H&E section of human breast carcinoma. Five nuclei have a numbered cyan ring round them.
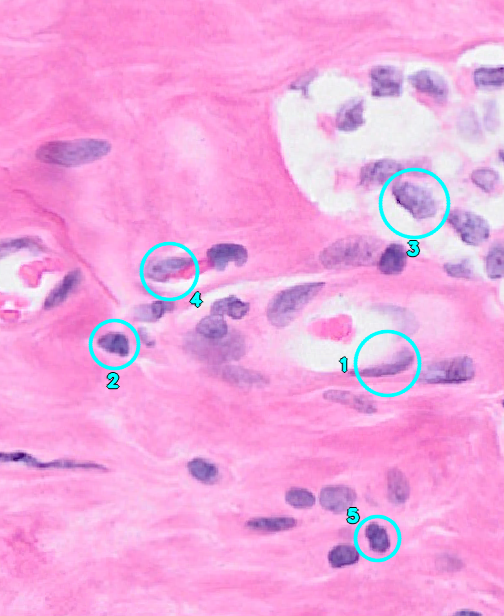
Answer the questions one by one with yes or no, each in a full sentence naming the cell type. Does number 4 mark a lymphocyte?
No, instead of a lymphocyte, the cell with number 4 is an endothelial cell.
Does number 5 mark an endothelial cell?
No, the cell with number 5 is not an endothelial cell but a lymphocyte.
